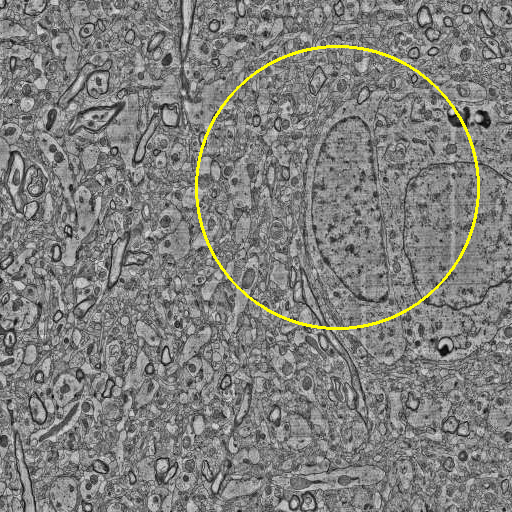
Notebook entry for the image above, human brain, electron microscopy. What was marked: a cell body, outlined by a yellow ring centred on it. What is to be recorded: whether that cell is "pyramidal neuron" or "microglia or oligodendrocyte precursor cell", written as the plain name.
microglia or oligodendrocyte precursor cell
